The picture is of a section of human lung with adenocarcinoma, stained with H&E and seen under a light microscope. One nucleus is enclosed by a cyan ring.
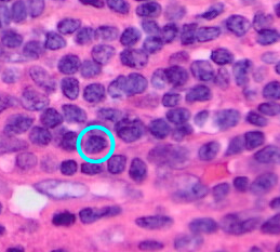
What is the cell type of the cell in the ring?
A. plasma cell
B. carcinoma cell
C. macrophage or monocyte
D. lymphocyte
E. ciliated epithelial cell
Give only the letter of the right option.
D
